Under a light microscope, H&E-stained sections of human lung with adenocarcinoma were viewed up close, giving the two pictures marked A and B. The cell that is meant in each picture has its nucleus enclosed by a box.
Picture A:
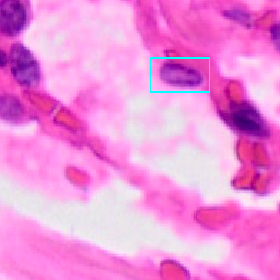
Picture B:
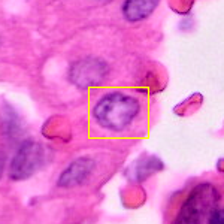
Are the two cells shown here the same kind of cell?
no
